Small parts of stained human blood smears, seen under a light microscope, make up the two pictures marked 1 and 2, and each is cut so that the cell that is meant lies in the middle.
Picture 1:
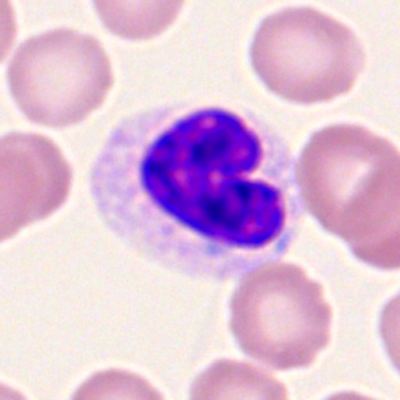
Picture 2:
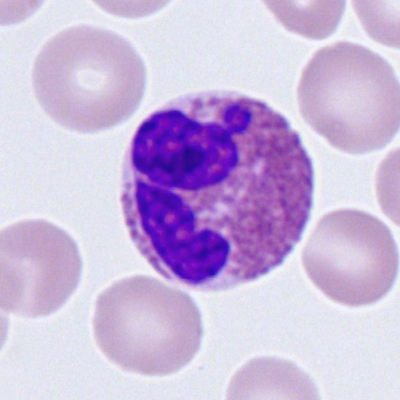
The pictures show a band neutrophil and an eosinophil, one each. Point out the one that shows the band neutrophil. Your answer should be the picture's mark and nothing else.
1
